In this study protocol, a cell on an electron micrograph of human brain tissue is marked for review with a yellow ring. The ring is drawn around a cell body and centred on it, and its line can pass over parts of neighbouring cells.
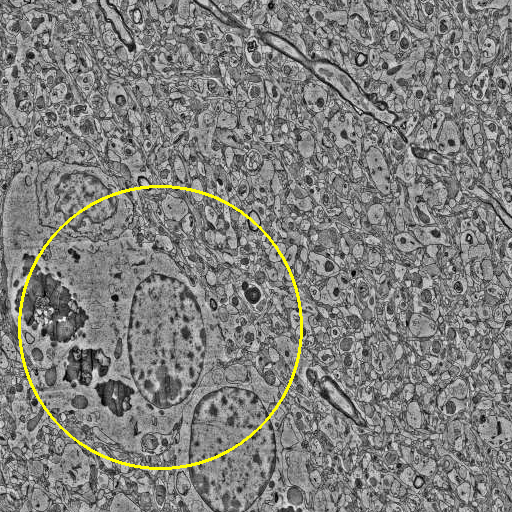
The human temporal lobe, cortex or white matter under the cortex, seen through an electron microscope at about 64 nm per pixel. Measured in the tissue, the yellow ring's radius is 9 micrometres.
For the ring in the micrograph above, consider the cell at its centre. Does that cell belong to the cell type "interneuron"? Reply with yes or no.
no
